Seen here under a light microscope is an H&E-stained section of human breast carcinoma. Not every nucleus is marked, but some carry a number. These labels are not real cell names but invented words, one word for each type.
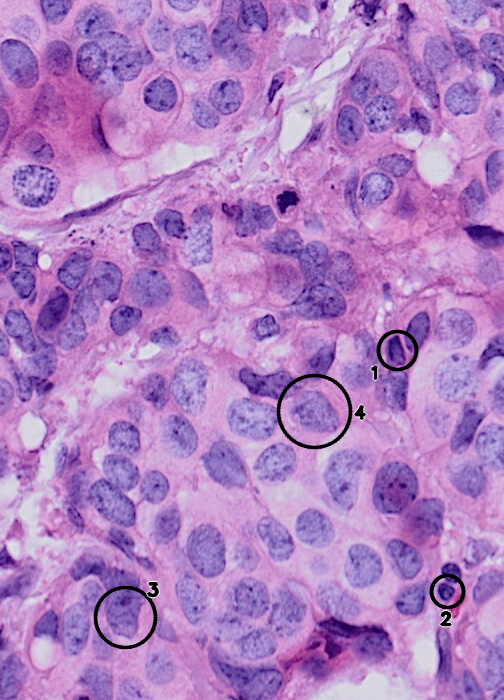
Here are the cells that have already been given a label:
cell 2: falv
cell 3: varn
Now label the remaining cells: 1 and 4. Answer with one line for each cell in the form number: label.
1: varn
4: varn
